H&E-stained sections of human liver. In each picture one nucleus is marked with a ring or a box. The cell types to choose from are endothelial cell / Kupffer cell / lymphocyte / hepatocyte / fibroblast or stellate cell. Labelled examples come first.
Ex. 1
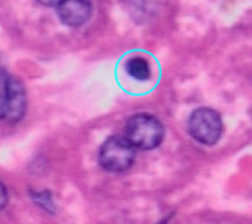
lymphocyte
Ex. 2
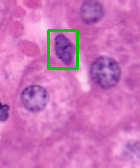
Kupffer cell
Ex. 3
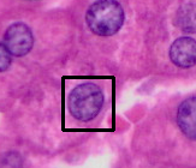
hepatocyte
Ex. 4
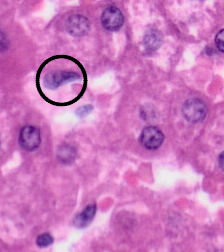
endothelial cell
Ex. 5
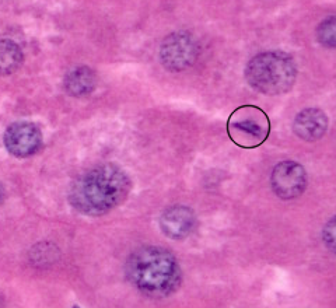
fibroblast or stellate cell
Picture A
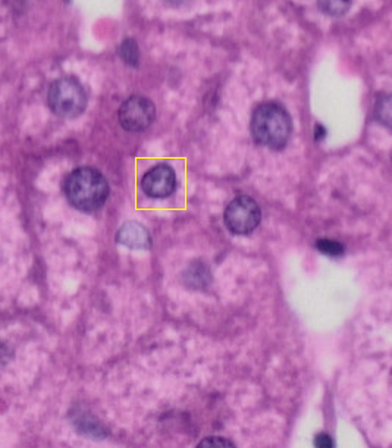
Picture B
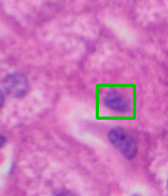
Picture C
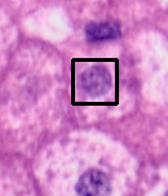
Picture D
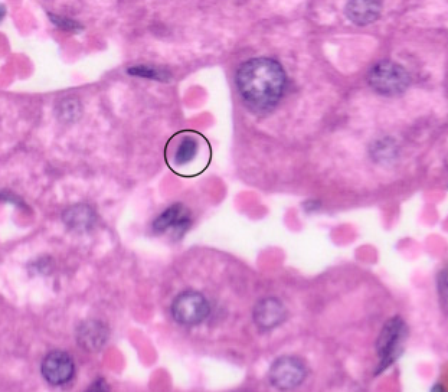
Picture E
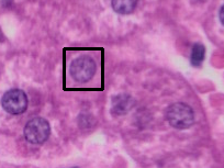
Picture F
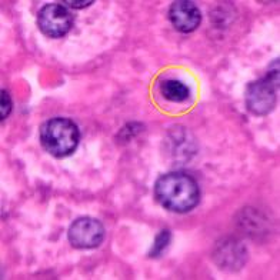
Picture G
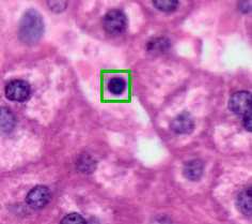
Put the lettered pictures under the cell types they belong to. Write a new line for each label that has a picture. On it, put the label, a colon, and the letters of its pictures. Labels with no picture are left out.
lymphocyte: D, F, G
hepatocyte: A, C, E
fibroblast or stellate cell: B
